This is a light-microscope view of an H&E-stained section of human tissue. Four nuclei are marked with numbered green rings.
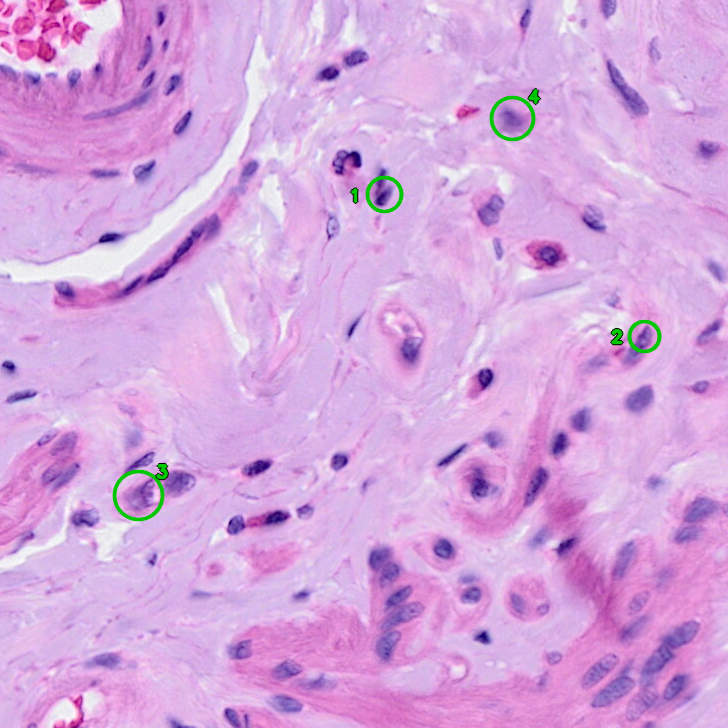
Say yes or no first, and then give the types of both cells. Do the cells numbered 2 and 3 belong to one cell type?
Yes, among the marked cells, numbers 2 and 3 are both endothelial cells.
